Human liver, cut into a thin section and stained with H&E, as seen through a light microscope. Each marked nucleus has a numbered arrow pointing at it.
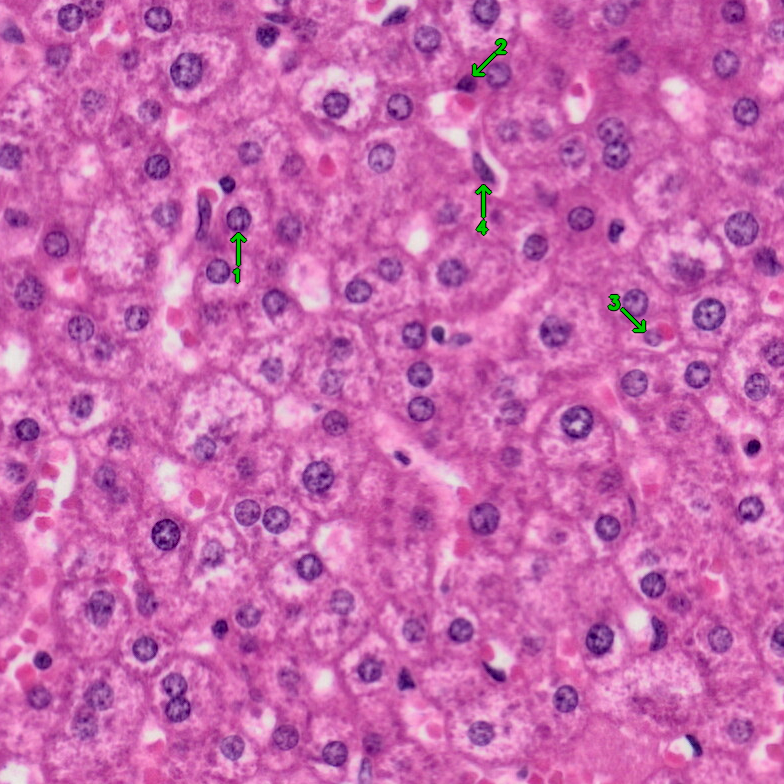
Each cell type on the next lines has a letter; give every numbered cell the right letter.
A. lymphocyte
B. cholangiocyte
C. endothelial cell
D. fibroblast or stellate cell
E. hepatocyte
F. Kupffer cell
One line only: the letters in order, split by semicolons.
E; D; F; F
